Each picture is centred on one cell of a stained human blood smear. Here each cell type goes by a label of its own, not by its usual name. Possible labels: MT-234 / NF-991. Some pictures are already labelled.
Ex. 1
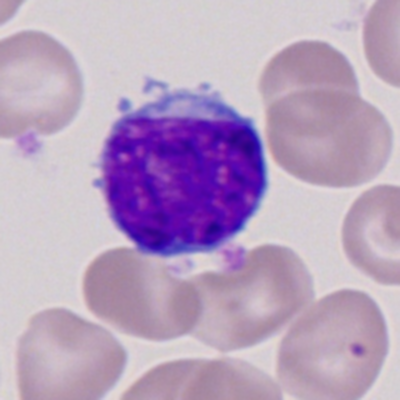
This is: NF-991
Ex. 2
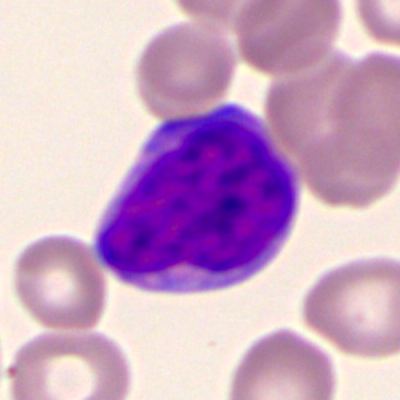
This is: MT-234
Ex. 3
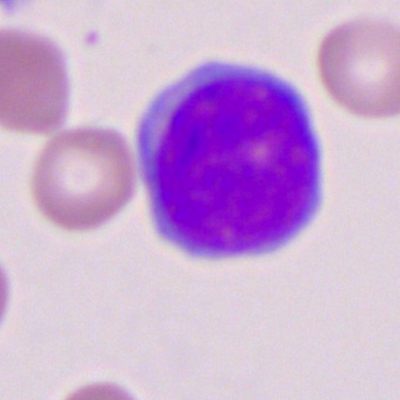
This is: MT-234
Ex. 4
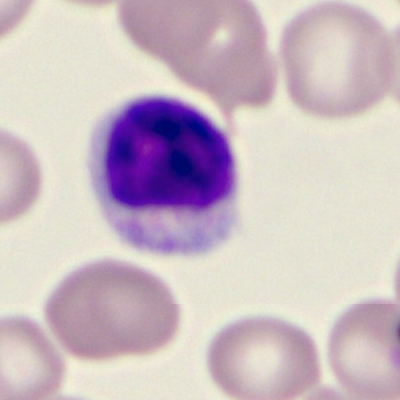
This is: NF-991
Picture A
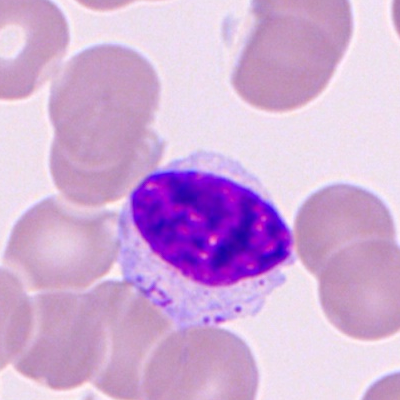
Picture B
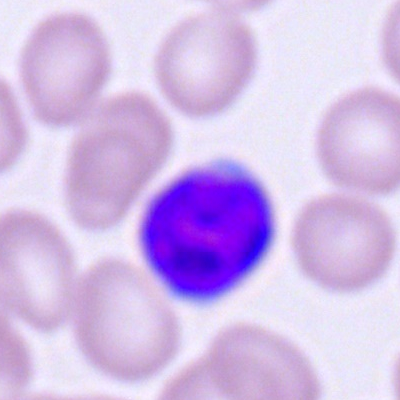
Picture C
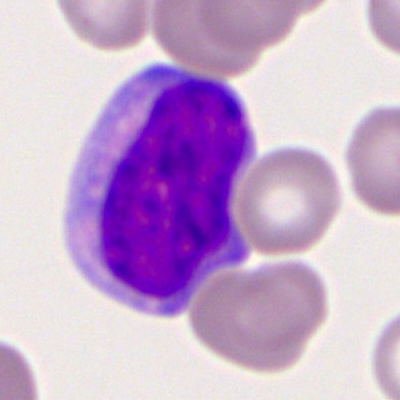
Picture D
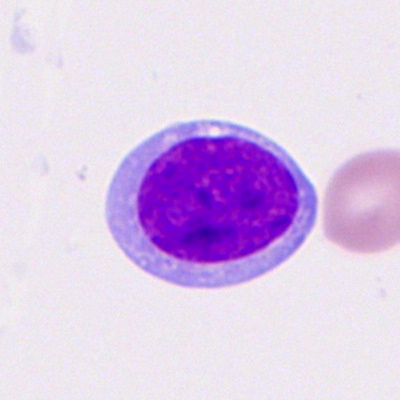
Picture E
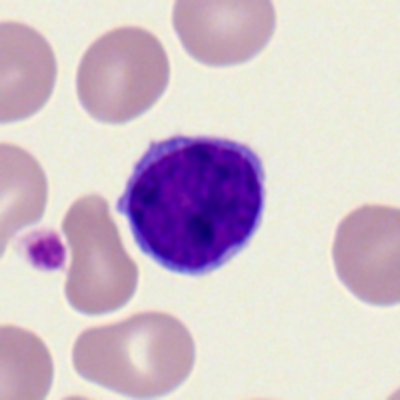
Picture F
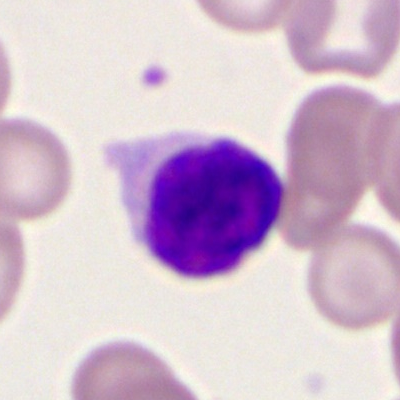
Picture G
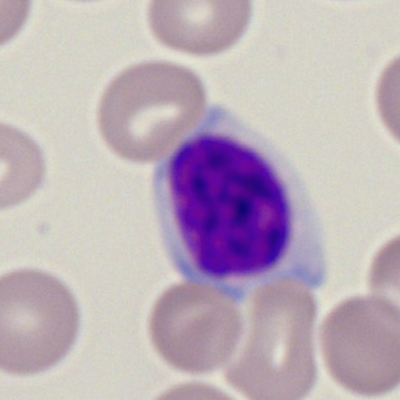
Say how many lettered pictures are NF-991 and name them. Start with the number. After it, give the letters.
Count: 6 (A, B, D, E, F, G)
